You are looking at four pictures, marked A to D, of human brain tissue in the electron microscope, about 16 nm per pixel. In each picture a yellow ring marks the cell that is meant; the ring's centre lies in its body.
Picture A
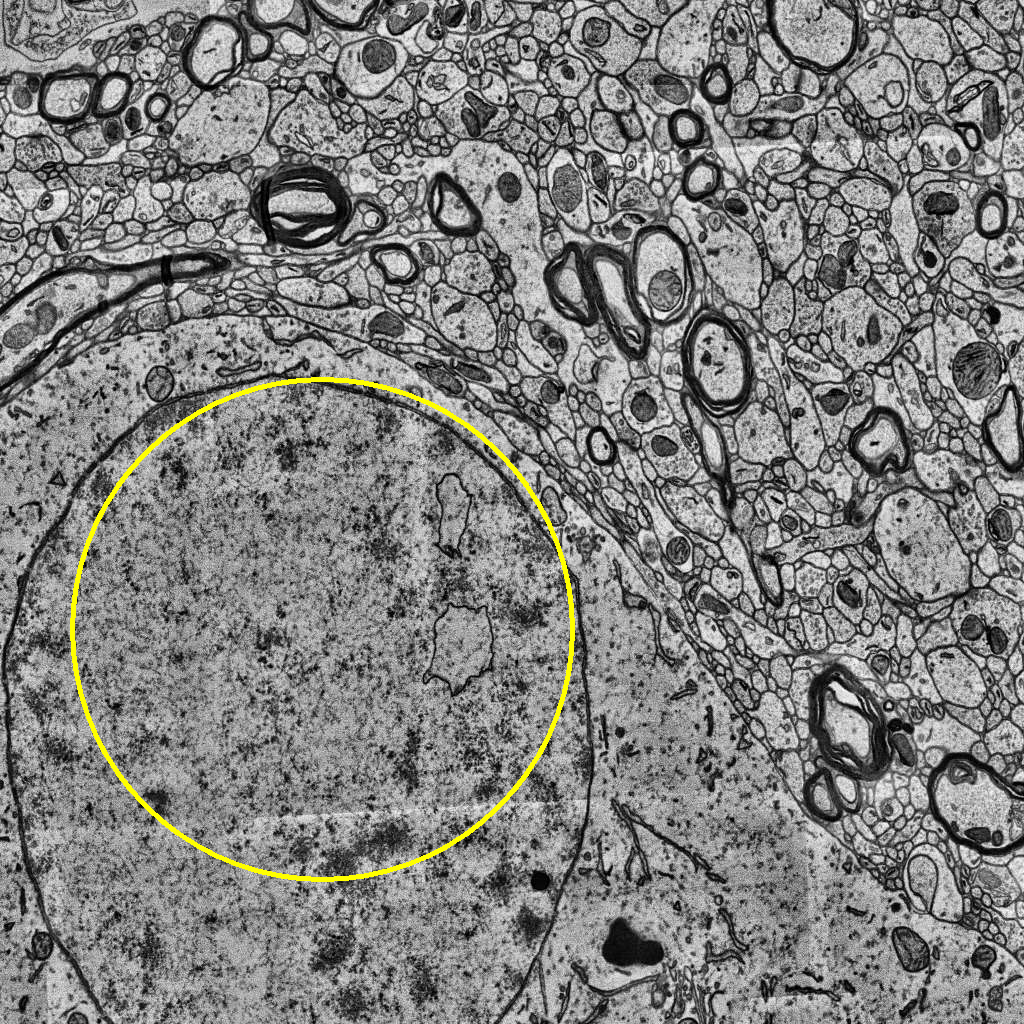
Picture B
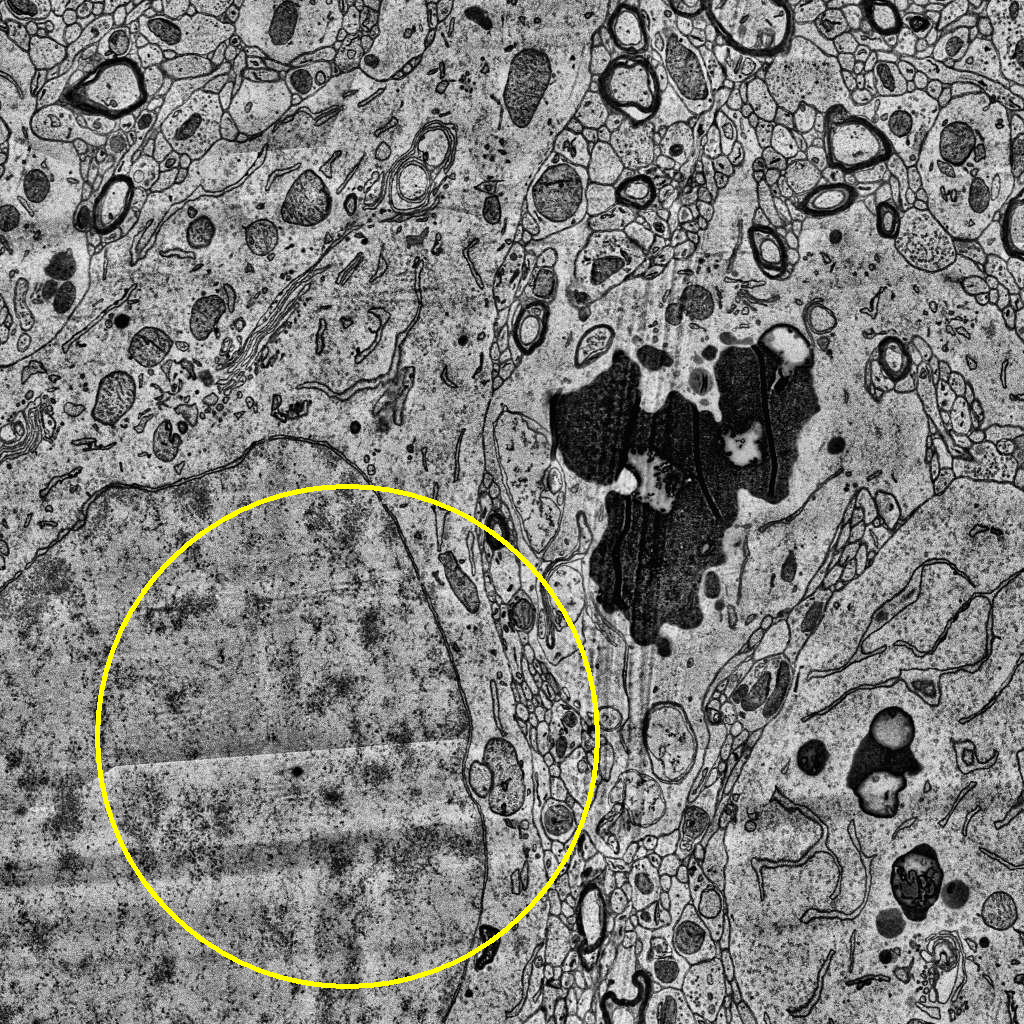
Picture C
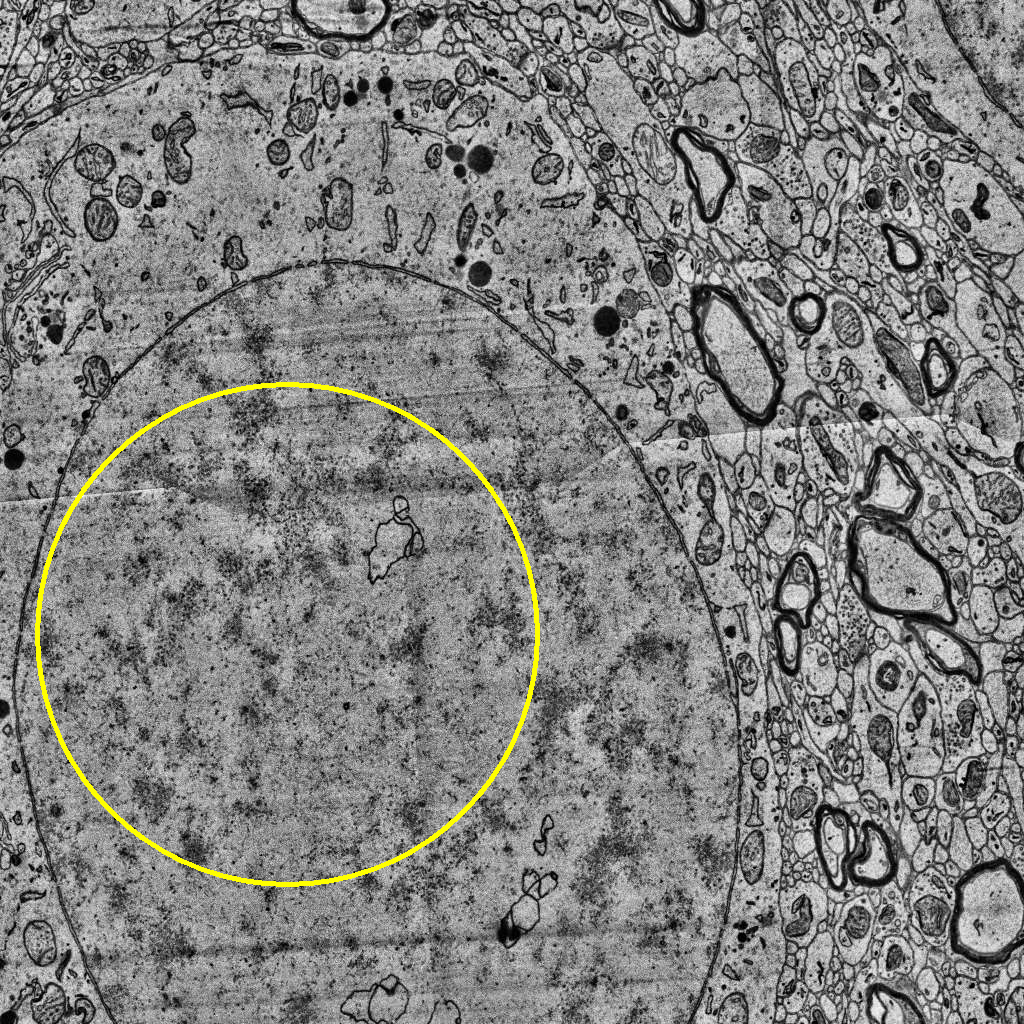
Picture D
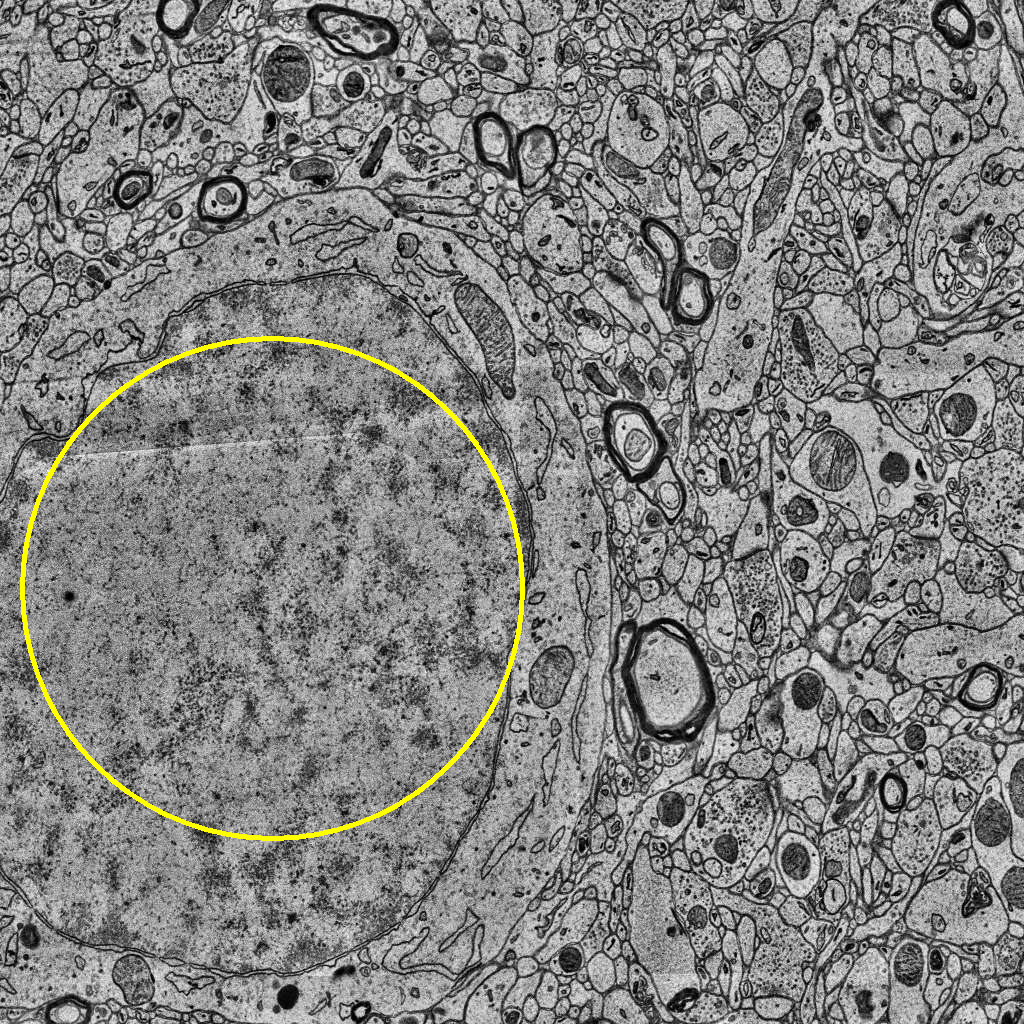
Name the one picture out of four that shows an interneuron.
The interneuron is the one in picture D.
